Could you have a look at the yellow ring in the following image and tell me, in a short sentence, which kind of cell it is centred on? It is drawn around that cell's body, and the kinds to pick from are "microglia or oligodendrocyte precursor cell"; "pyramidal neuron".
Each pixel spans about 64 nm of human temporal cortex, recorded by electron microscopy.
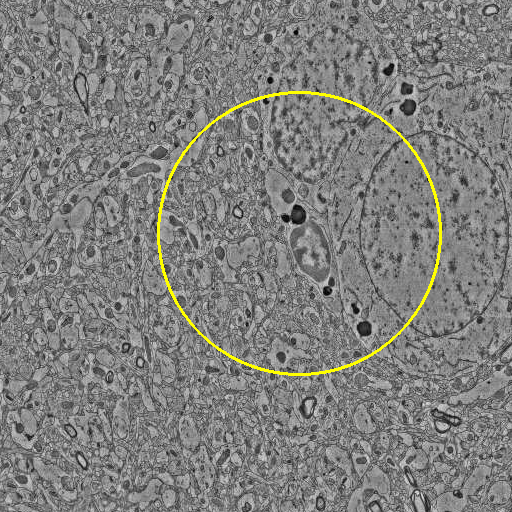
The ring is centred on the body of a microglial cell or oligodendrocyte precursor cell.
